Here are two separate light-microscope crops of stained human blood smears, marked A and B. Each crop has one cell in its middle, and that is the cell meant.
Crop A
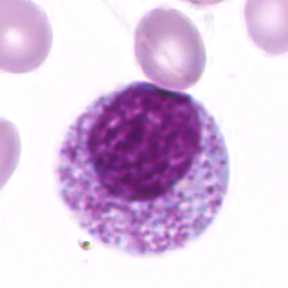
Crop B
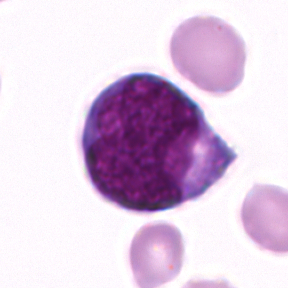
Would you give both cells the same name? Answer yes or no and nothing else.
no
